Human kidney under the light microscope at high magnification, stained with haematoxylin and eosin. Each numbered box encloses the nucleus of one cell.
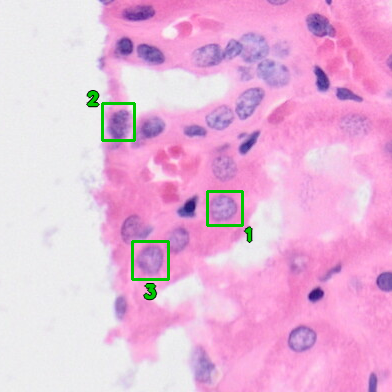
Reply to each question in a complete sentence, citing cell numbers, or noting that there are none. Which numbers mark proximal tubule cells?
The cells carrying labels 1 and 3 are proximal tubule cells.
